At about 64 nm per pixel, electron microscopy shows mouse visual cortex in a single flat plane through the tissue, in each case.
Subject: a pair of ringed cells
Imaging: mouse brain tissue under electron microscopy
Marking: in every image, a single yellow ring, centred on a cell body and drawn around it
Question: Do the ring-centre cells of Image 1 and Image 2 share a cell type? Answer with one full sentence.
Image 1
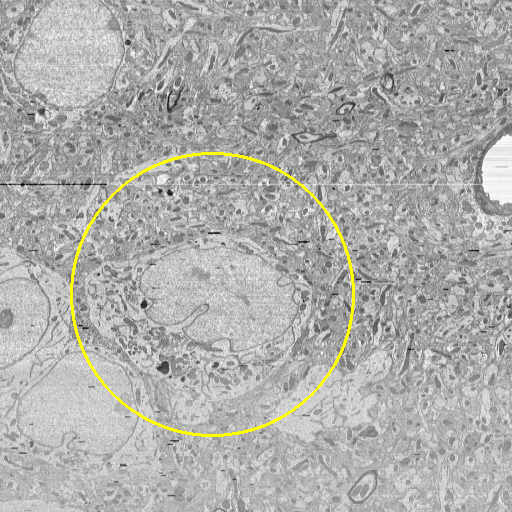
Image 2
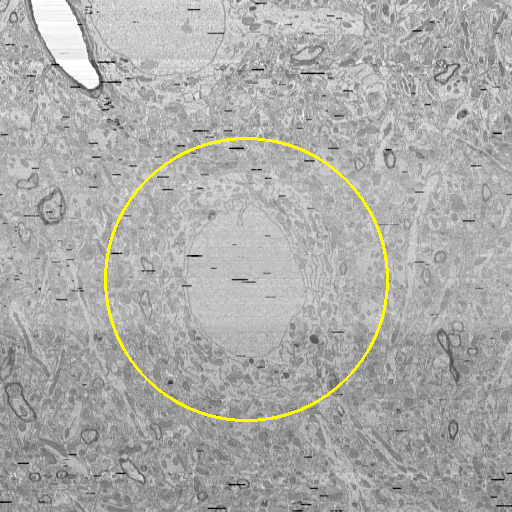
Yes, at each ring's centre in the images sits a cell of one common type.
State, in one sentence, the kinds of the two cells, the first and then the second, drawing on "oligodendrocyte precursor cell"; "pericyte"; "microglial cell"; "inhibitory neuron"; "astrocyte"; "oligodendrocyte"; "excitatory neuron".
The cell at the ring centre is an inhibitory neuron in both pictures.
